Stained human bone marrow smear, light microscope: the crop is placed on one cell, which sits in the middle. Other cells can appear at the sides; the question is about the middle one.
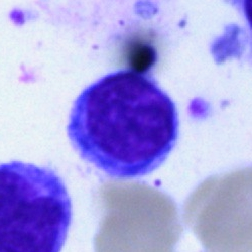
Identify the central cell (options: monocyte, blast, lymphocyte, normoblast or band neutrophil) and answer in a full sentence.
Answering briefly, the cell in the middle is a lymphocyte.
